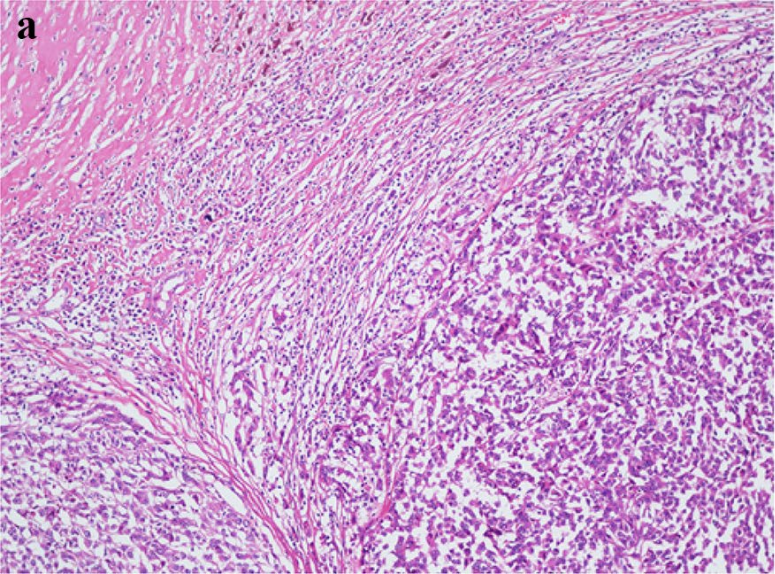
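This is tumor tissue with crowded sheets of cells with dark purple nuclei on the right and lower left, bordered by a broad band of fibrous stroma. The stroma holds streaming spindle-shaped cells and scattered small dark lymphocytes, and merges at the upper left into dense pink collagen with a few brown pigment deposits.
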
